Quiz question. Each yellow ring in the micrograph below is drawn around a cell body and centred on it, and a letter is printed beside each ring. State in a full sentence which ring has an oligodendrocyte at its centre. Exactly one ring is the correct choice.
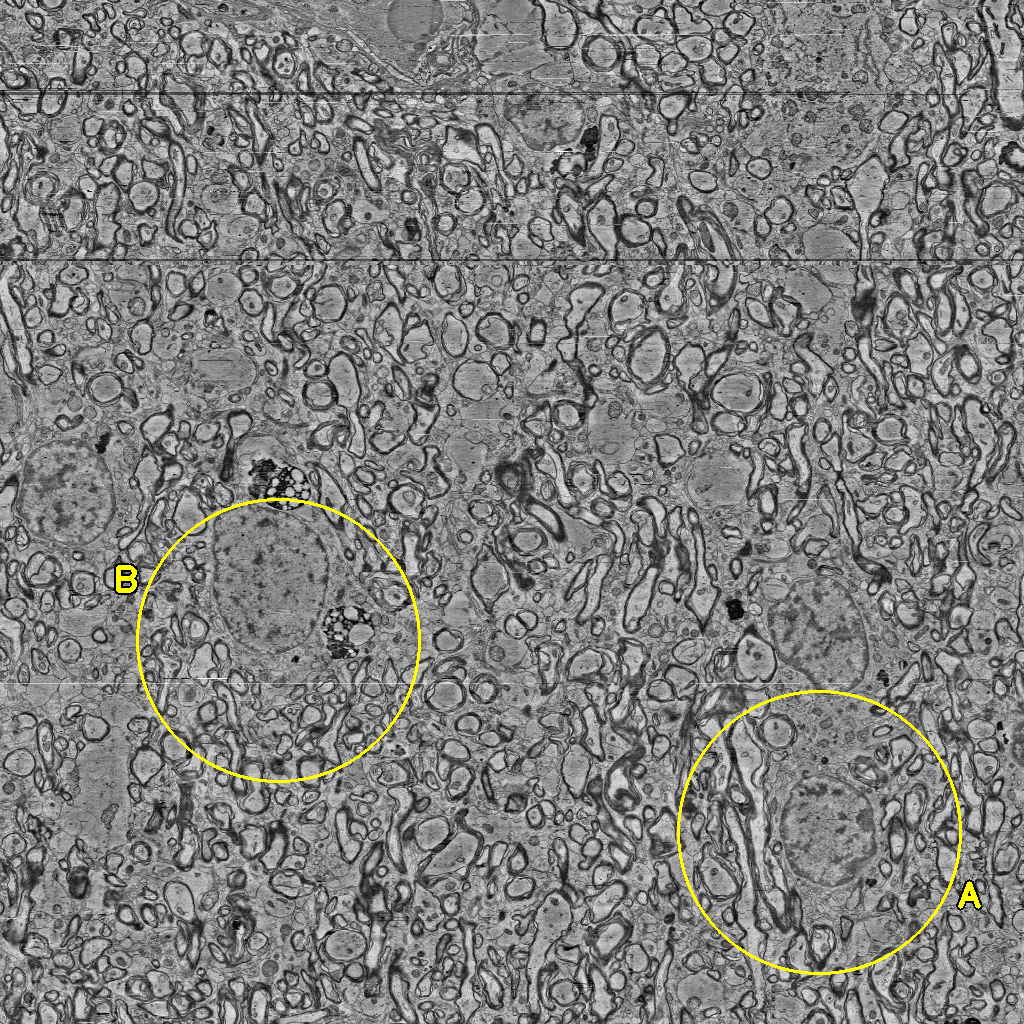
The correct ring is ring A.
